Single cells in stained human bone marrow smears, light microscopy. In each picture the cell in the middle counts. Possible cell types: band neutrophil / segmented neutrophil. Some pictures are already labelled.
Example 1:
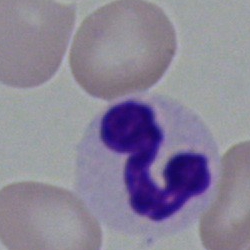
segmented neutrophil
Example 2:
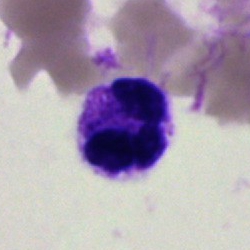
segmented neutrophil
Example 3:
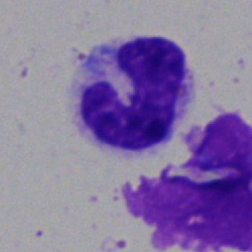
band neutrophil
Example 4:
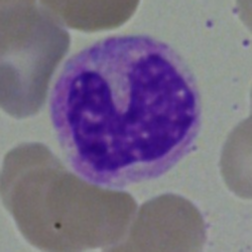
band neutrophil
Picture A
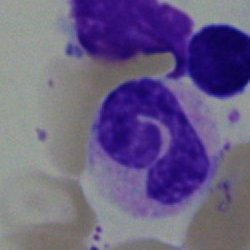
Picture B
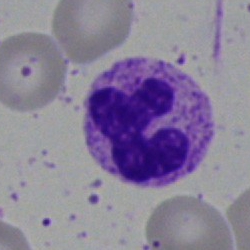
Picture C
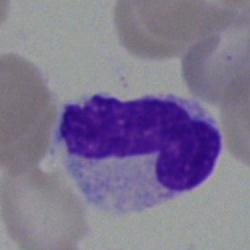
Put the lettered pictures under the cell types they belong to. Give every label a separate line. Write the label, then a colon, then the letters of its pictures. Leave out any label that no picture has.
band neutrophil: A, C
segmented neutrophil: B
